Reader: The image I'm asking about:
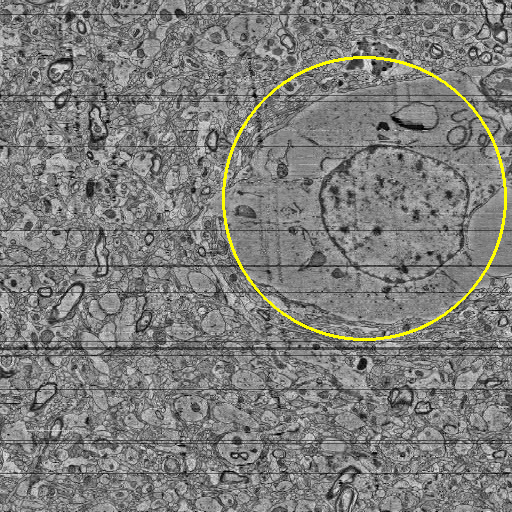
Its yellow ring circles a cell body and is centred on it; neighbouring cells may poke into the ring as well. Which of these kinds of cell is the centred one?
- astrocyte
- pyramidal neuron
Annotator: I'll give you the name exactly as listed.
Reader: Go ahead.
astrocyte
